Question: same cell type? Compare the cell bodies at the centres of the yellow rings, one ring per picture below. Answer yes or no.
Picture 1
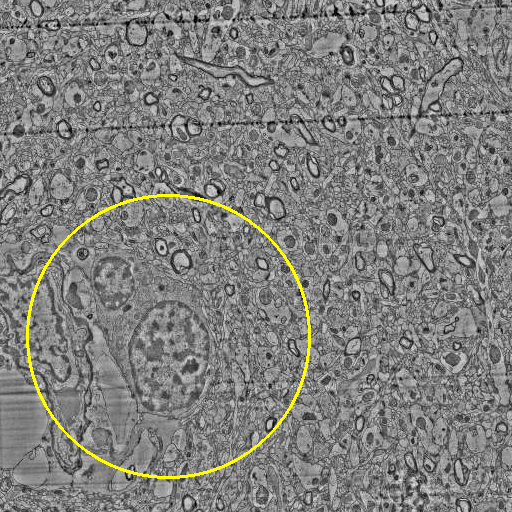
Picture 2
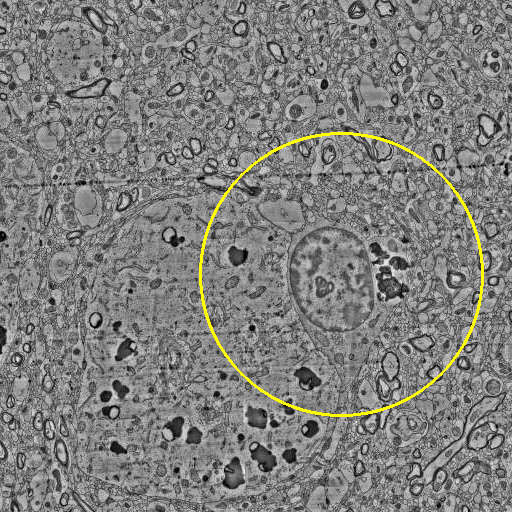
yes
